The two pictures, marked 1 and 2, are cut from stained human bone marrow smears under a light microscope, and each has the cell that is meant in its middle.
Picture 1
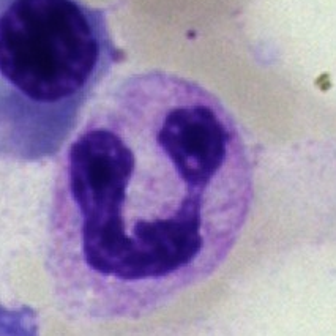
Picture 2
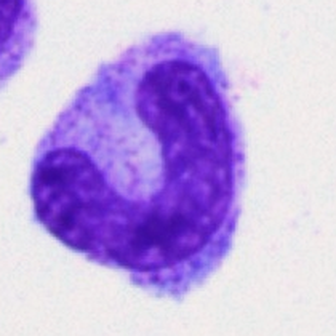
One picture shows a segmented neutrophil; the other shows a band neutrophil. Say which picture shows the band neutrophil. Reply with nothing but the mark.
2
